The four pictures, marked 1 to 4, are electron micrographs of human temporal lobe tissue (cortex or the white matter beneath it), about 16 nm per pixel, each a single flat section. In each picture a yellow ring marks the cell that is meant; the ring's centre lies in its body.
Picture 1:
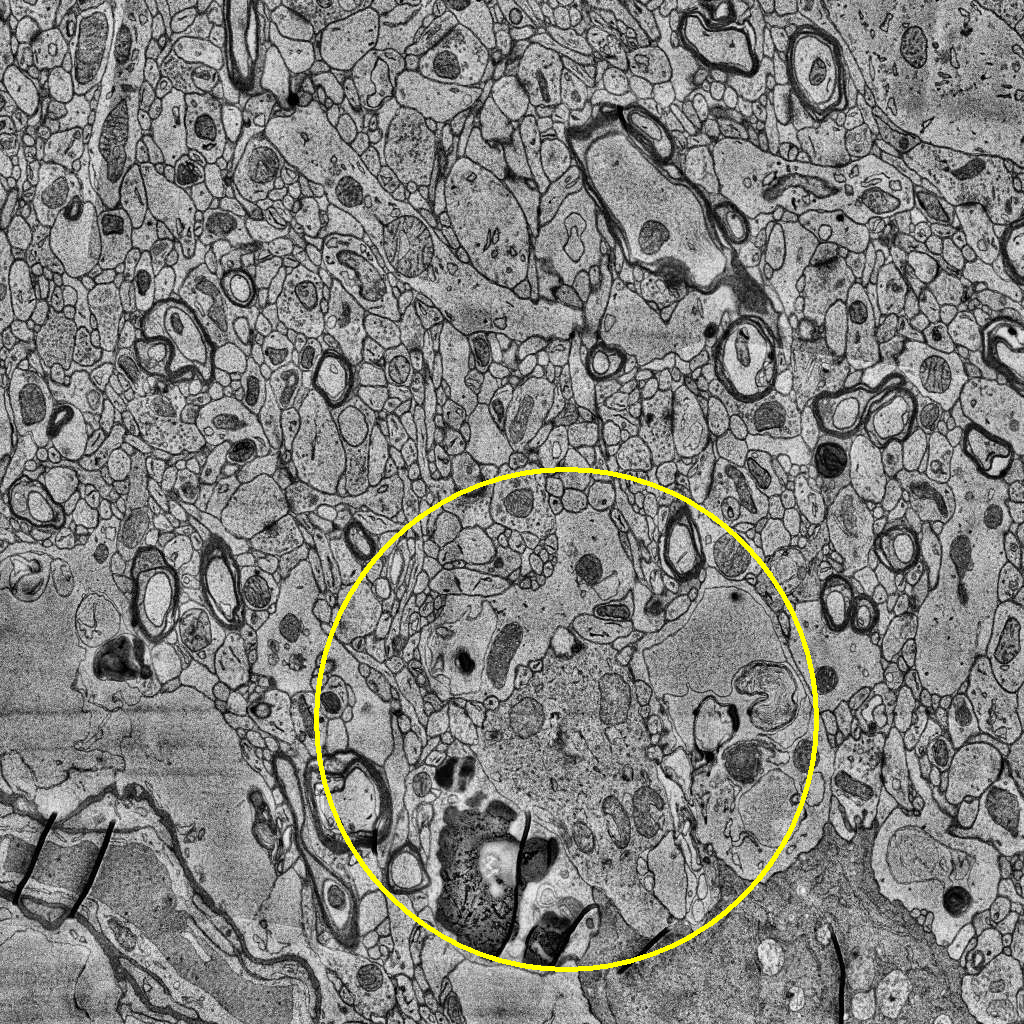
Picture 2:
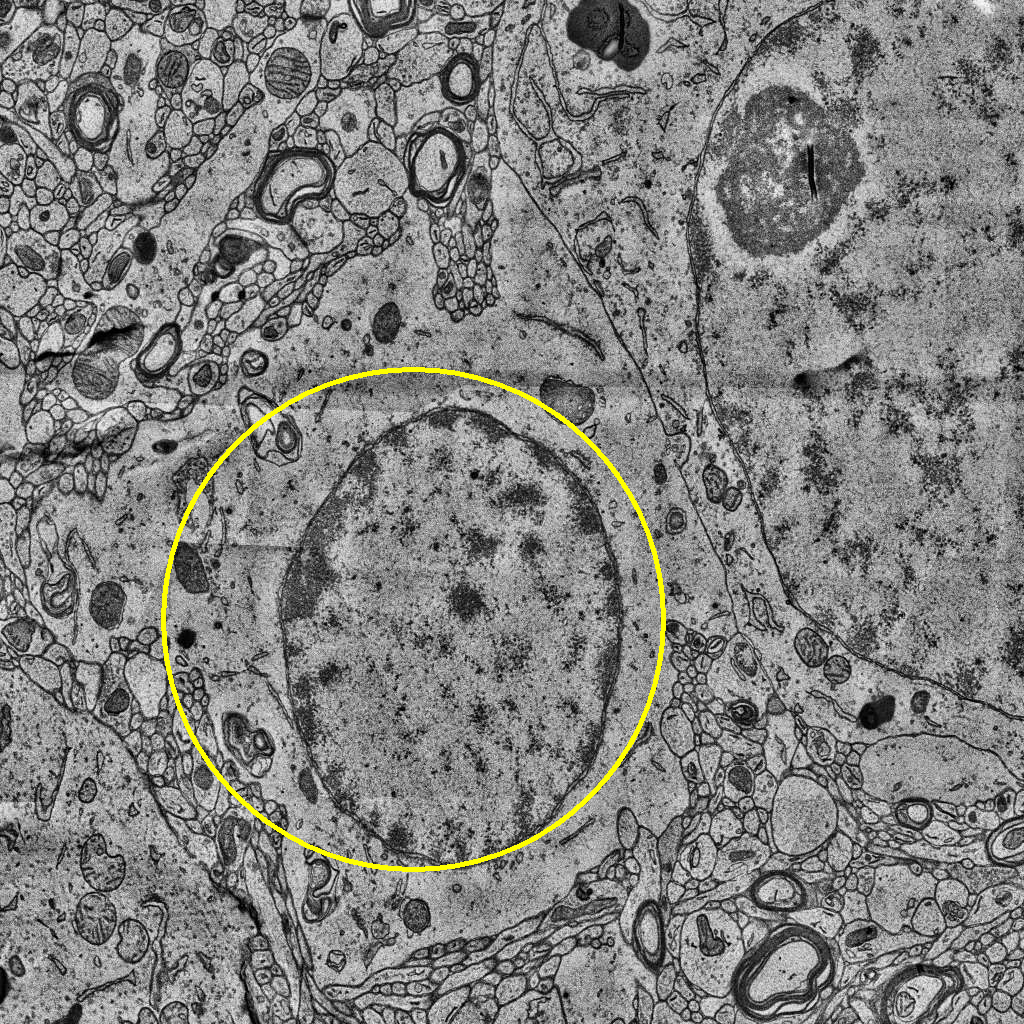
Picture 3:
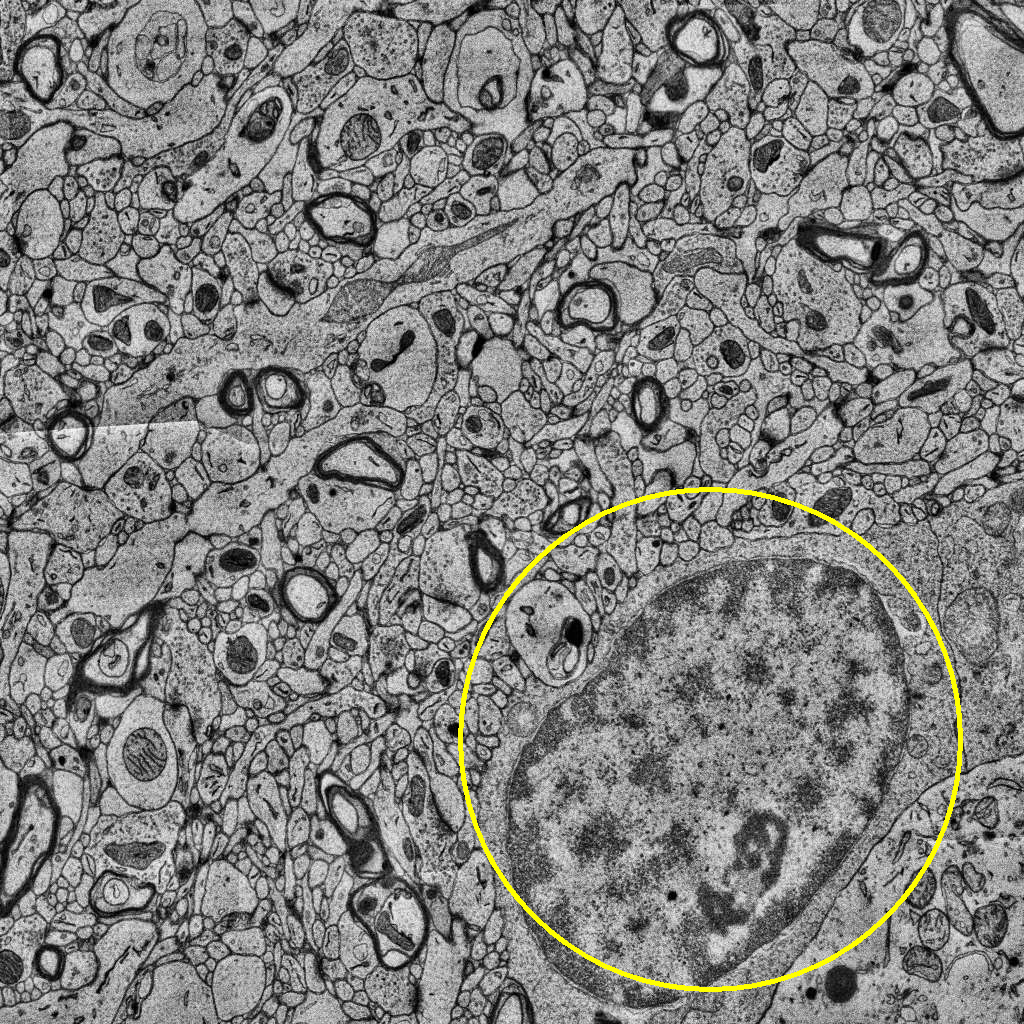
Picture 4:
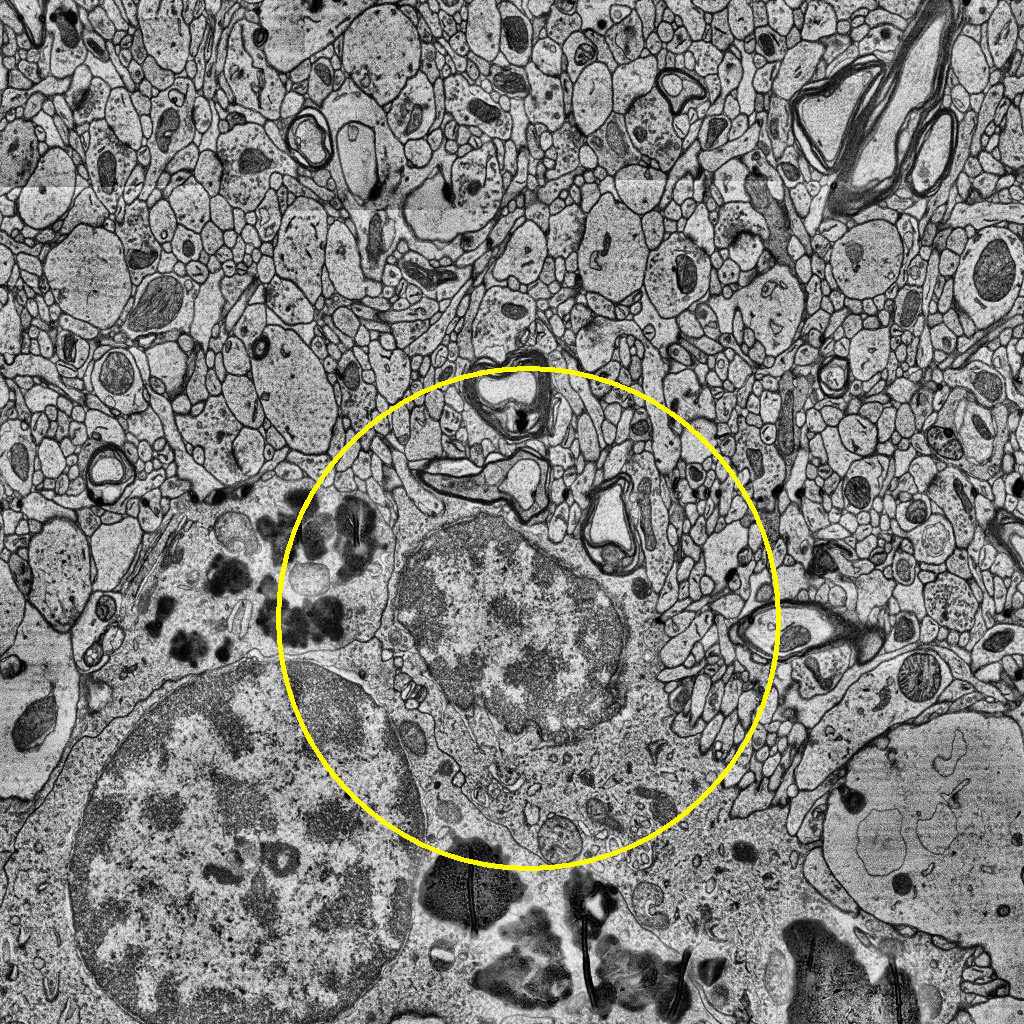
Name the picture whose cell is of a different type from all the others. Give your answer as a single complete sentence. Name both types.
Picture 2 is the odd one out: it shows an astrocyte, while the others show oligodendrocytes.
